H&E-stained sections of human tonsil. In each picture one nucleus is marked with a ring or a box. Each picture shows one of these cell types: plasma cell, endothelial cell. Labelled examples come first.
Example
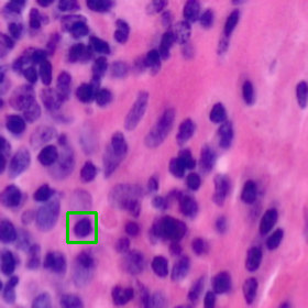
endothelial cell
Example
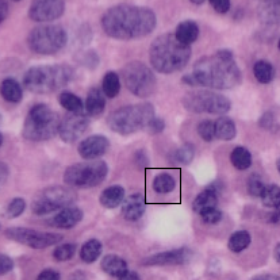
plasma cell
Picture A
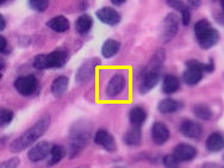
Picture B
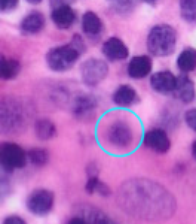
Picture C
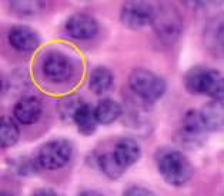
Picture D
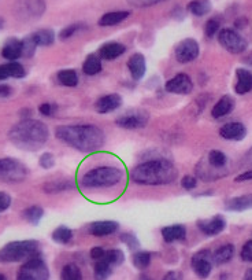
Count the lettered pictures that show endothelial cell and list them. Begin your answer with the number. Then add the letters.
Count: 3 (A, B, D)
